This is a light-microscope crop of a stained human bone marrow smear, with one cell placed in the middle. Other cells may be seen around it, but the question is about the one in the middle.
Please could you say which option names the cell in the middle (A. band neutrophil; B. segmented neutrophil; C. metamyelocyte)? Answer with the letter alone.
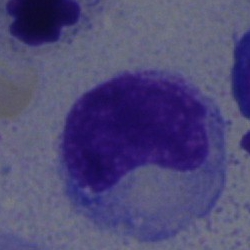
C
